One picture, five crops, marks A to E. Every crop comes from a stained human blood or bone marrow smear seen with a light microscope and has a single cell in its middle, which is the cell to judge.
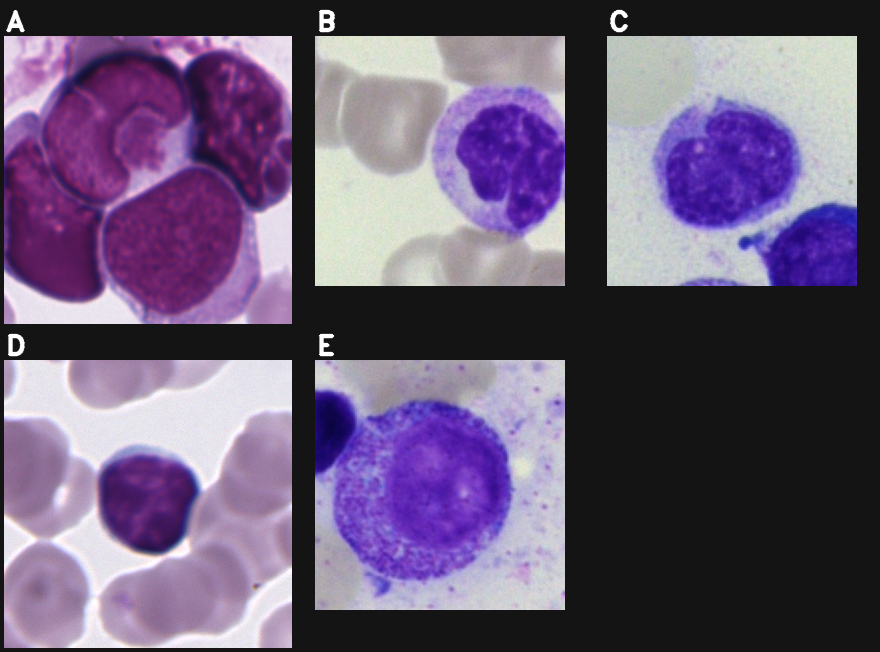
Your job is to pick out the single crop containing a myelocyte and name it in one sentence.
The crop with a myelocyte at its center is crop E.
